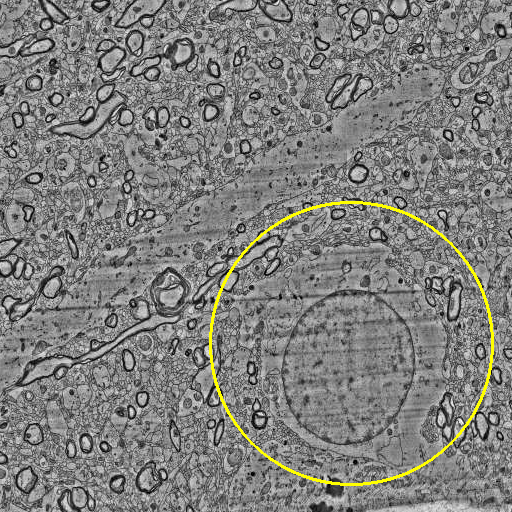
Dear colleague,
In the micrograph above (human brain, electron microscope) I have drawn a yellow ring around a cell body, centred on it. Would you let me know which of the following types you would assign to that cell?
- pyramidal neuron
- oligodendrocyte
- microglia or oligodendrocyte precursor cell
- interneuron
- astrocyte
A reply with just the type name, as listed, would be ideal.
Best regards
astrocyte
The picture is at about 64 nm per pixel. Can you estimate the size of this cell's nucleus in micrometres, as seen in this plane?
Approximately 10 micrometres long and 8 micrometres wide, in this plane.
